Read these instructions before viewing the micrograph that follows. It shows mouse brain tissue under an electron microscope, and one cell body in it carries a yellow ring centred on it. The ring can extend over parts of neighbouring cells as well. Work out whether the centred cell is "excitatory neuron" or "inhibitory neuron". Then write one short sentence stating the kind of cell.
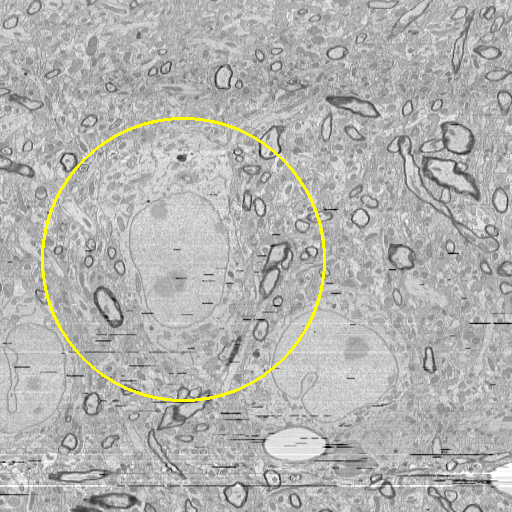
The ringed cell is an excitatory neuron.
